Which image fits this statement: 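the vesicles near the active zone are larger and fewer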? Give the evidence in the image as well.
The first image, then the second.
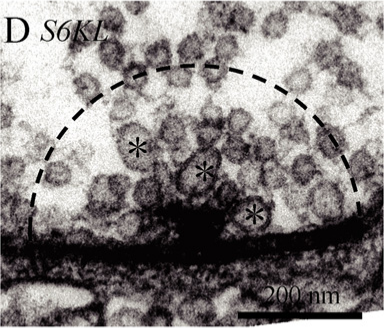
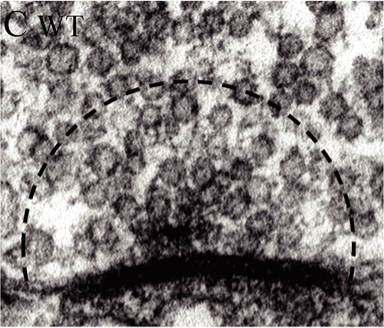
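First image: several vesicles within the dashed arc are clearly larger than their neighbours, and the arc holds fewer vesicles. Second image: the vesicles within the dashed arc are small, uniform in size and densely packed. The answer: the first image.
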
